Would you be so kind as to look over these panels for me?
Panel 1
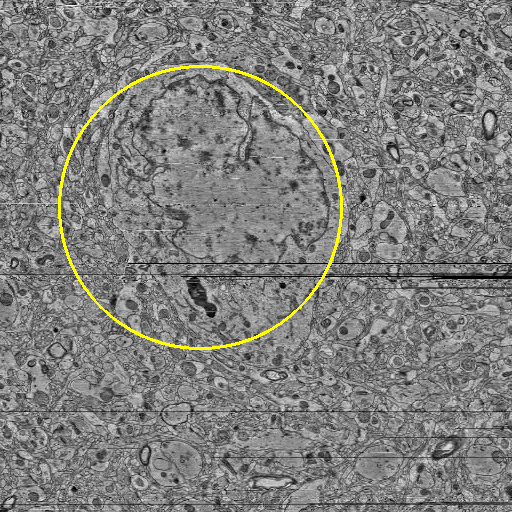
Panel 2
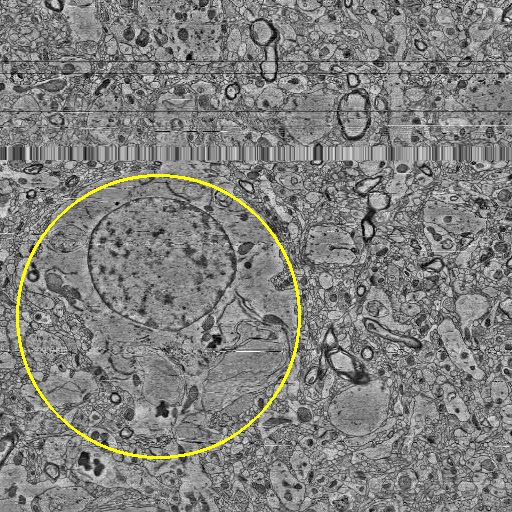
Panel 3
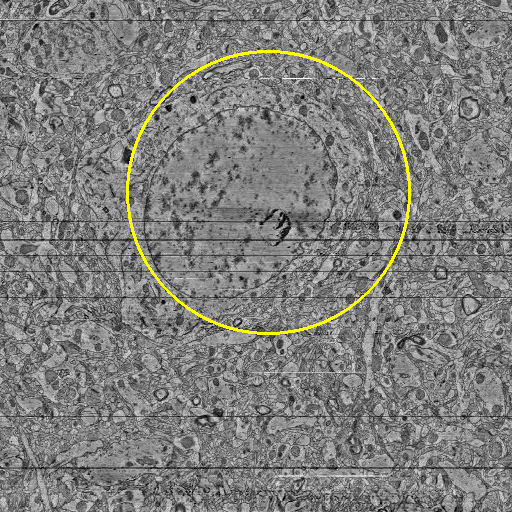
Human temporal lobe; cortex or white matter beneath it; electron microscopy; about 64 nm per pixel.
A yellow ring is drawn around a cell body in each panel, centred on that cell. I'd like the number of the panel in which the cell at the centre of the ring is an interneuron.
1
